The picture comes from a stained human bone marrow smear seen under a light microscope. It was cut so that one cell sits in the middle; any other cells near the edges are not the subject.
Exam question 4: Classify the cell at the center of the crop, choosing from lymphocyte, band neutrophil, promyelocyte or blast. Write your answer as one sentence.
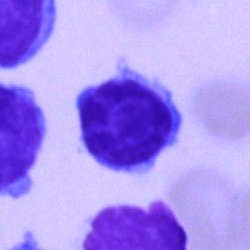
By type, the central cell of the crop is a lymphocyte.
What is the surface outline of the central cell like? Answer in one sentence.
As for its outline, the cell is irregular, ragged or drawn into projections.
